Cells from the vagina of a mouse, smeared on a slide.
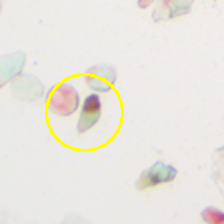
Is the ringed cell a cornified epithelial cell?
No, it is a nucleated epithelial cell.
